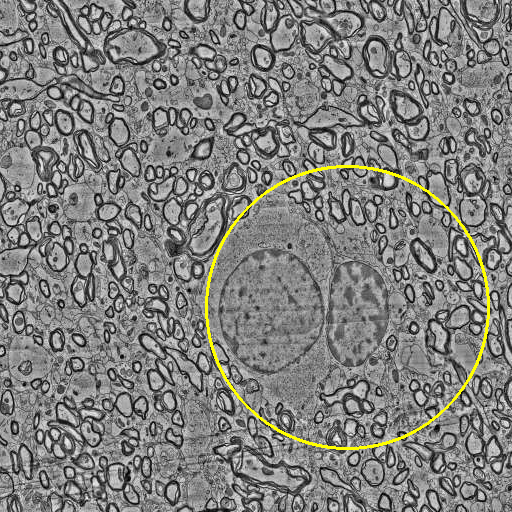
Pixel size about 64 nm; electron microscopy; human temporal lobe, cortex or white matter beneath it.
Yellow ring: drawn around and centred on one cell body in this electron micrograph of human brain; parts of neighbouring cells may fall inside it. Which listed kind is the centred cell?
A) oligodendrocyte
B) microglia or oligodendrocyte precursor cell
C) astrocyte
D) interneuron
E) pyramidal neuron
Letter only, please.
B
